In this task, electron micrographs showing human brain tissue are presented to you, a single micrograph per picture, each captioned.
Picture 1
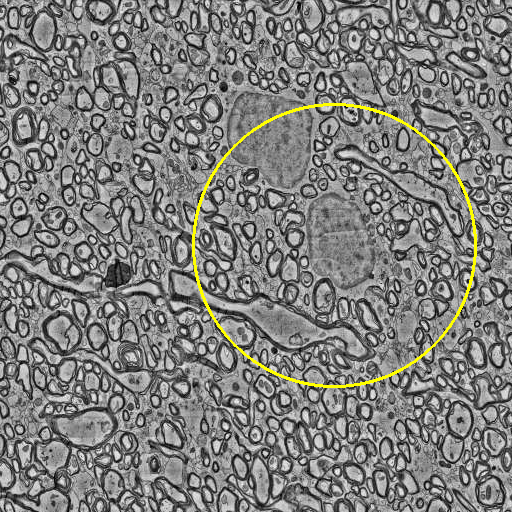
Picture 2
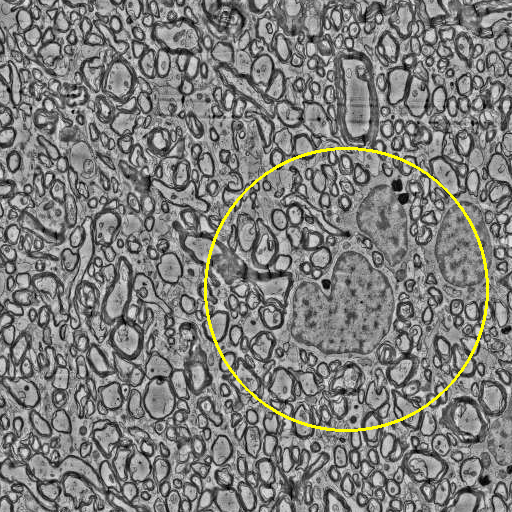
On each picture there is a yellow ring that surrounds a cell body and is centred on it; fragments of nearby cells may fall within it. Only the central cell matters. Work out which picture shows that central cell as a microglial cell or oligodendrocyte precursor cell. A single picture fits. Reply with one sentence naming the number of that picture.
Of all the pictures, number 2 has the right cell in the centre of its ring.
